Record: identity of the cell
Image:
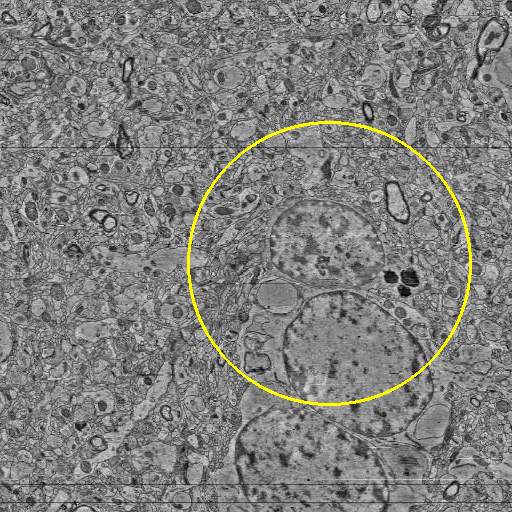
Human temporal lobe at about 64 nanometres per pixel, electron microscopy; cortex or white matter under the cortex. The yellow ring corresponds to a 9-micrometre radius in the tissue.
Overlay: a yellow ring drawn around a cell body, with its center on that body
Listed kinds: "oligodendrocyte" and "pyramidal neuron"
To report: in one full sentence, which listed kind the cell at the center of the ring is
In the image, the cell body at the ring's center belongs to an oligodendrocyte.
